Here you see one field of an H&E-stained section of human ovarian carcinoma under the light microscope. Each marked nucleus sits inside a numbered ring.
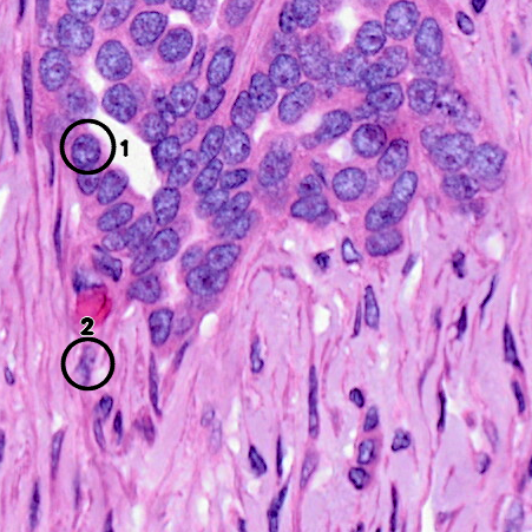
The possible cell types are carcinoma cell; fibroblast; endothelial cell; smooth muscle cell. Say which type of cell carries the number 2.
fibroblast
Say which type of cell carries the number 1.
carcinoma cell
